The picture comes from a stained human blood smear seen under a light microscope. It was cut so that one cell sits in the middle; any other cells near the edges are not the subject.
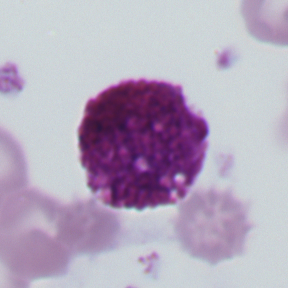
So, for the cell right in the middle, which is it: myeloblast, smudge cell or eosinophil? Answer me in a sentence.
The identification for the central cell is an eosinophil.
